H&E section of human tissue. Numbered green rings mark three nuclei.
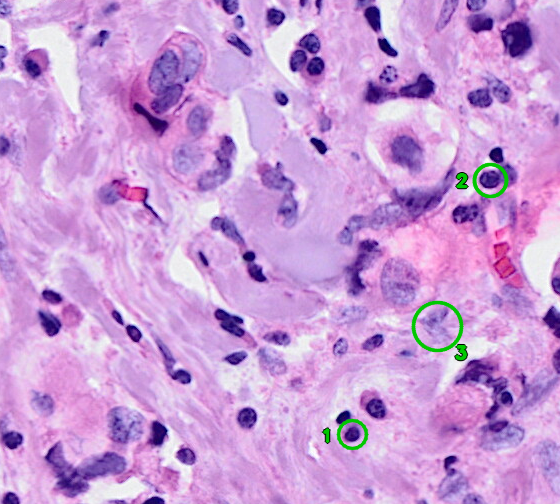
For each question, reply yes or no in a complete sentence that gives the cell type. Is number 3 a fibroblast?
Yes, what number 3 marks is a fibroblast.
